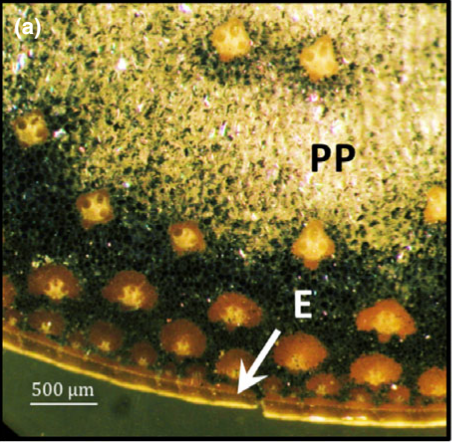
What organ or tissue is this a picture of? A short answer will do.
Internode cross section.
